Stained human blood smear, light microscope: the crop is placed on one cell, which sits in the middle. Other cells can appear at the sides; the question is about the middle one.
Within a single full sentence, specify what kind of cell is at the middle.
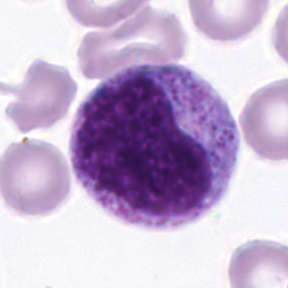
The centered cell in this crop is a myelocyte.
